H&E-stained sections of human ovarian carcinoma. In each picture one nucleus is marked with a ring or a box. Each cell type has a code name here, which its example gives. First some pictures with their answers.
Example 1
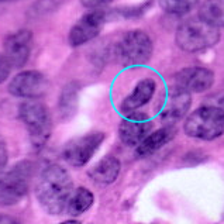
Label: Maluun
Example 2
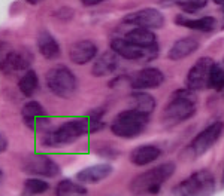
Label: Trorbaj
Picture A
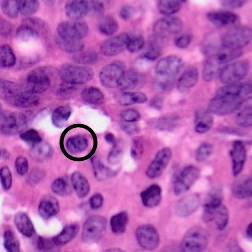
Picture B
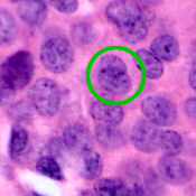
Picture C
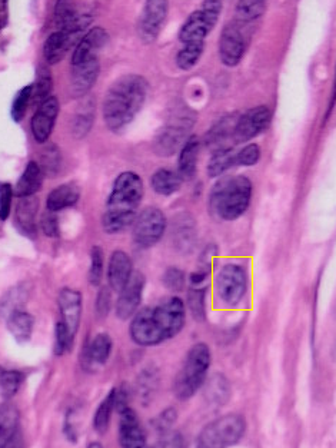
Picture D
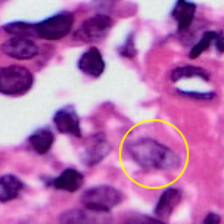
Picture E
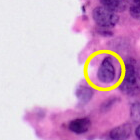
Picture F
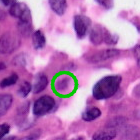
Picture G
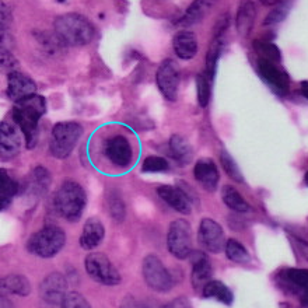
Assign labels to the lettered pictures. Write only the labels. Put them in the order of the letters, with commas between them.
Maluun, Trorbaj, Maluun, Maluun, Maluun, Maluun, Trorbaj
